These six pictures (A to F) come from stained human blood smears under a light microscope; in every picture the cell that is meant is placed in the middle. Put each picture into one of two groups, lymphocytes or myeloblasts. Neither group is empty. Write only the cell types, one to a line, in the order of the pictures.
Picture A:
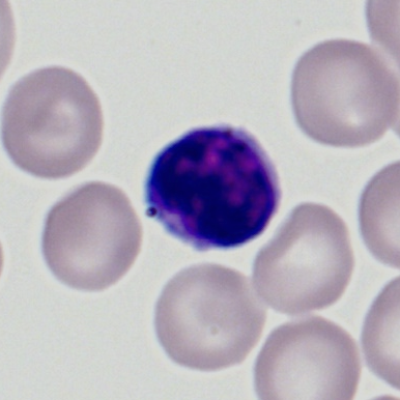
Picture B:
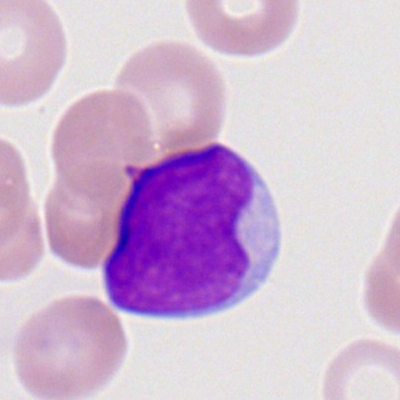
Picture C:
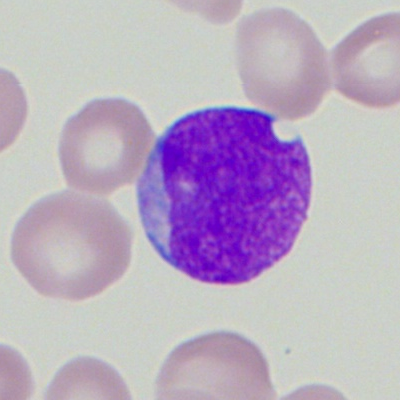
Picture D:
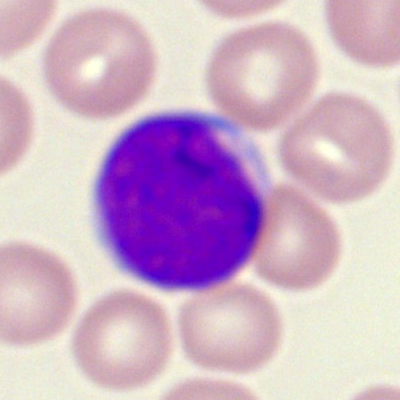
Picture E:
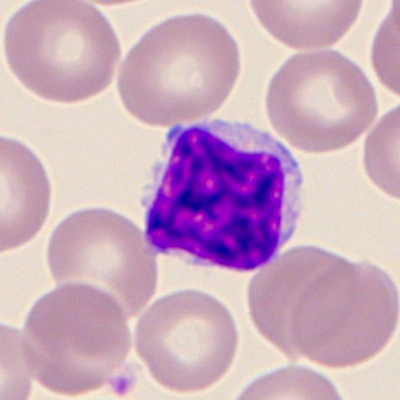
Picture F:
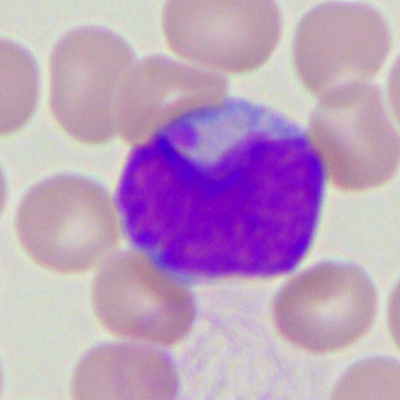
lymphocyte
myeloblast
myeloblast
myeloblast
lymphocyte
myeloblast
